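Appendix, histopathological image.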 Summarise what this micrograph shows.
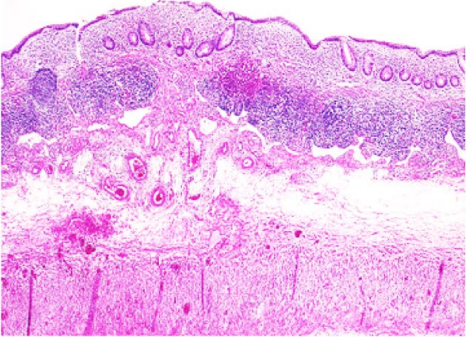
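A section of appendiceal wall shows a mucosa with scattered crypts and lymphoid aggregates stained purple near the surface. Beneath it the submucosa is broad, pale and loose, with thick-walled vessels and a focus of red blood, separating the mucosa from the pink muscle layer below.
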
